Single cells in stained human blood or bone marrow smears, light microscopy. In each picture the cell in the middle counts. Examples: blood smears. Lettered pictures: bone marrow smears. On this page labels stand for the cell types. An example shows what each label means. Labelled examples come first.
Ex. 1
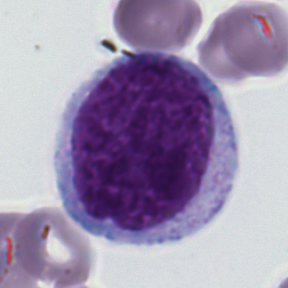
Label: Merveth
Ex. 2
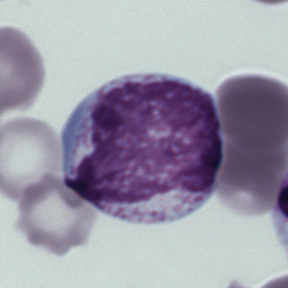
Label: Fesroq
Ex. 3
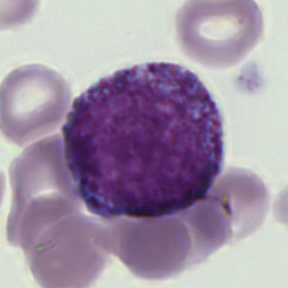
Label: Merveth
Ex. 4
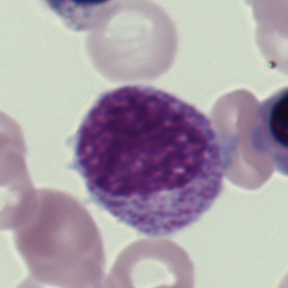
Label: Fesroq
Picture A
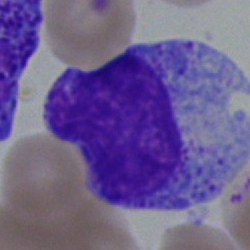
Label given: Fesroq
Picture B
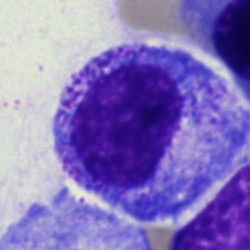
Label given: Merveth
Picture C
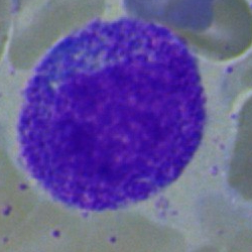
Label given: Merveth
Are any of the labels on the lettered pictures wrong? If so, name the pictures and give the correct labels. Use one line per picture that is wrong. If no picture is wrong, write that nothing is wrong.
All labels are correct.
